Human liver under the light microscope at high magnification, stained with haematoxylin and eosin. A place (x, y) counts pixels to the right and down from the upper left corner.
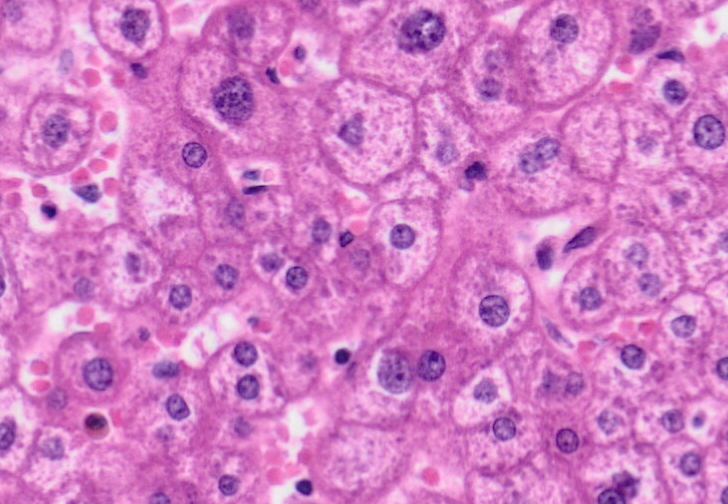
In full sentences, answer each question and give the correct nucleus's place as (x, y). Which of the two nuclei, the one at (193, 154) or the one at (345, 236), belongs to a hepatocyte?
Of the two nuclei, the nucleus of a hepatocyte is at (193, 154).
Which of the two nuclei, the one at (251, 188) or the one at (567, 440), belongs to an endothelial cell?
Of the two nuclei, the one at (251, 188) belongs to an endothelial cell.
